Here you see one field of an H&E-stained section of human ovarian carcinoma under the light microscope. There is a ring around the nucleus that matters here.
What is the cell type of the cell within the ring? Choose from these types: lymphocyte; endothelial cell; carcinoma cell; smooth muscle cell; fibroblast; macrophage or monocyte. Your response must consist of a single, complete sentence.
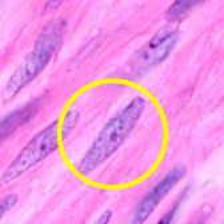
Within this tissue, the cell within the ring is a smooth muscle cell.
